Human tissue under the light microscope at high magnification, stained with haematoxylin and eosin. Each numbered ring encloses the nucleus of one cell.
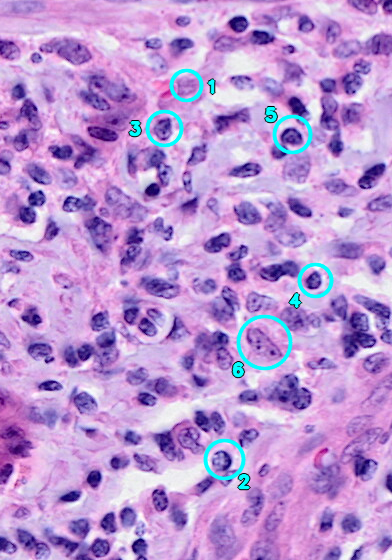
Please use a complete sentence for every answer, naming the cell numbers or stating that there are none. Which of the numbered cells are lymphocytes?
Within the section, cells numbered 2, 3, 4 and 5 are lymphocytes.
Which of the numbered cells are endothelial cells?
Cell 1 alone, of all the numbered cells, is an endothelial cell.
